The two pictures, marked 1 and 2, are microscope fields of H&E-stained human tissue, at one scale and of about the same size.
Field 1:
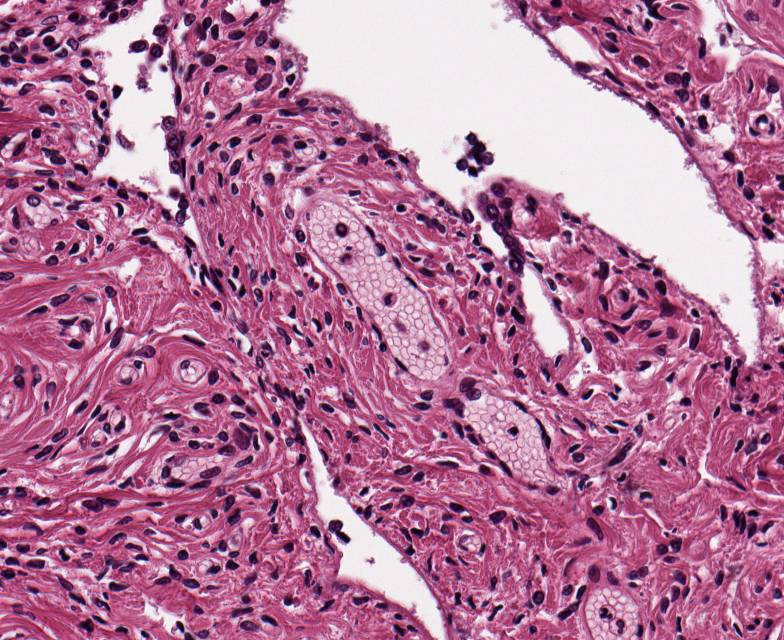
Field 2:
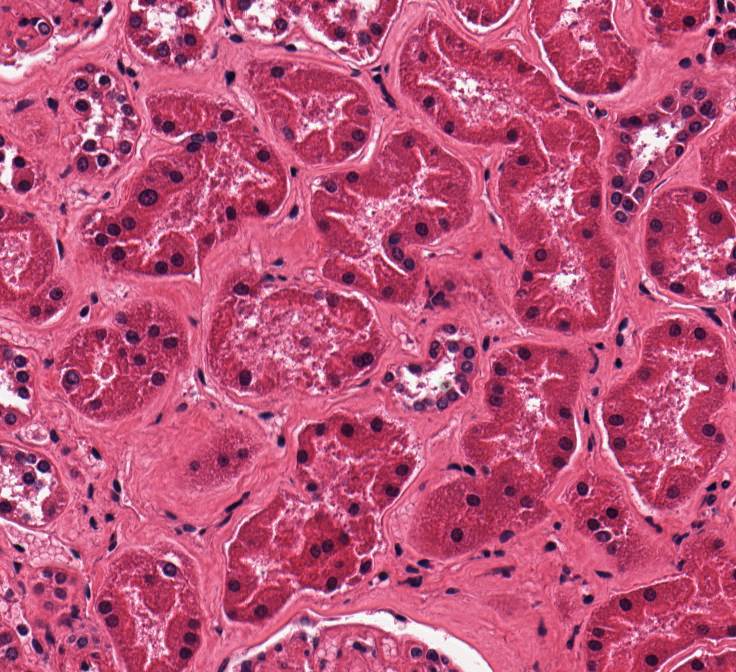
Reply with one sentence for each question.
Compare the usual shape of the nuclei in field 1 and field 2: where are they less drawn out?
The nuclei are rounder in field 2.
